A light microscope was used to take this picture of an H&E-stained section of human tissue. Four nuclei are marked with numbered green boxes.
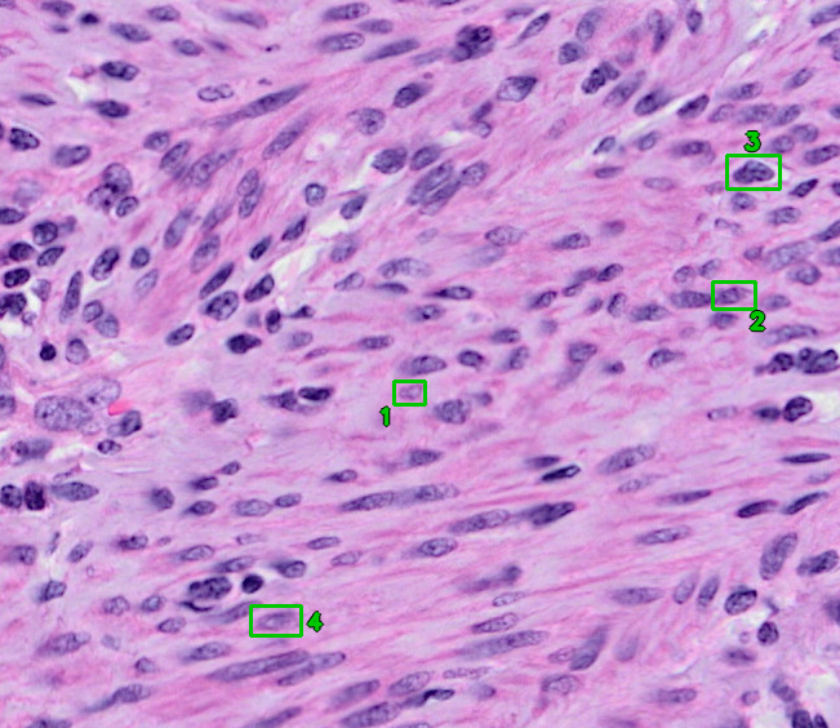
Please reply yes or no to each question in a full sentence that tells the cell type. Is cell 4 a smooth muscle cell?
Yes, the cell whose number is 4 is a smooth muscle cell.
